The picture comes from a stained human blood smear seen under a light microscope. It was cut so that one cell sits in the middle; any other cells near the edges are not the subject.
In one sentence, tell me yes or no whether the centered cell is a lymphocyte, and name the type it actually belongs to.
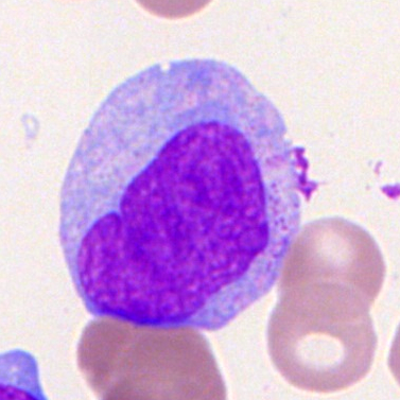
No, the cell in the middle is categorised as a monocyte, not a lymphocyte.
